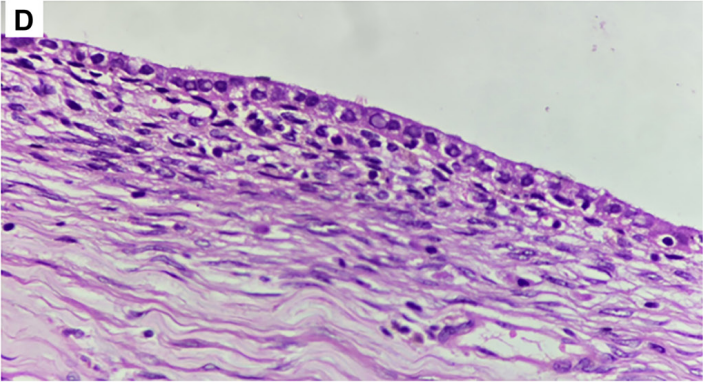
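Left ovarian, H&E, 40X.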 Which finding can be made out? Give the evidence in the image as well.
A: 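A smooth wall faces an empty space. The surface is lined by epithelium with dark oval nuclei. Beneath the lining lies loose fibrous stroma with spindle-shaped cells.
Answer: Serous cystadenoma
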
